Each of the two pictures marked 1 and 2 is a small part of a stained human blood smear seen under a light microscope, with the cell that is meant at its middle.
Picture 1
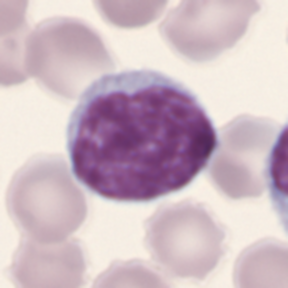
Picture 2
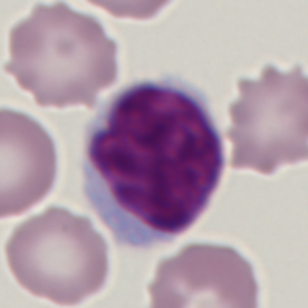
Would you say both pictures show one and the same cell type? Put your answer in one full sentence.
No, they differ: the cell is a typical lymphocyte in picture 1 and a hairy cell in picture 2.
